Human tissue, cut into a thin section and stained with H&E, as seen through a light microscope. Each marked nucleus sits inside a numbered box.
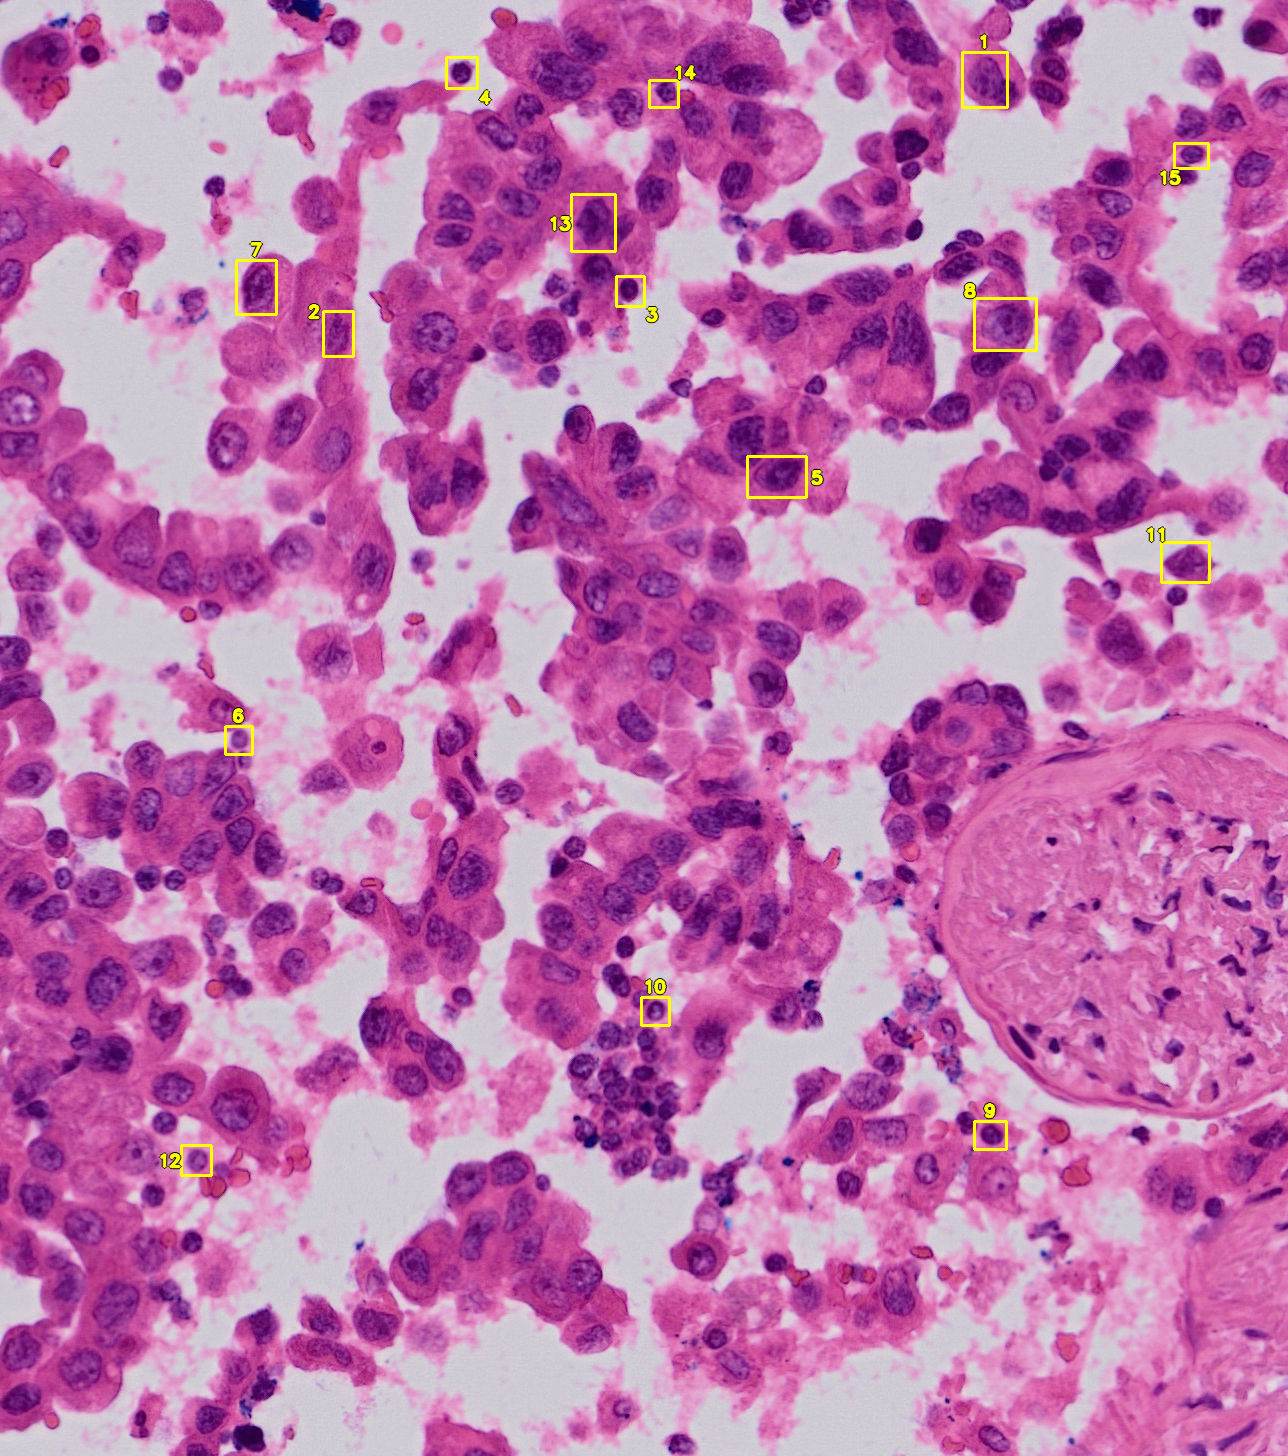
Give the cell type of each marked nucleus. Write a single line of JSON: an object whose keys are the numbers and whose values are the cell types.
{"1": "carcinoma cell", "2": "carcinoma cell", "3": "lymphocyte", "4": "lymphocyte", "5": "carcinoma cell", "6": "lymphocyte", "7": "carcinoma cell", "8": "carcinoma cell", "9": "lymphocyte", "10": "lymphocyte", "11": "carcinoma cell", "12": "lymphocyte", "13": "carcinoma cell", "14": "lymphocyte", "15": "lymphocyte"}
